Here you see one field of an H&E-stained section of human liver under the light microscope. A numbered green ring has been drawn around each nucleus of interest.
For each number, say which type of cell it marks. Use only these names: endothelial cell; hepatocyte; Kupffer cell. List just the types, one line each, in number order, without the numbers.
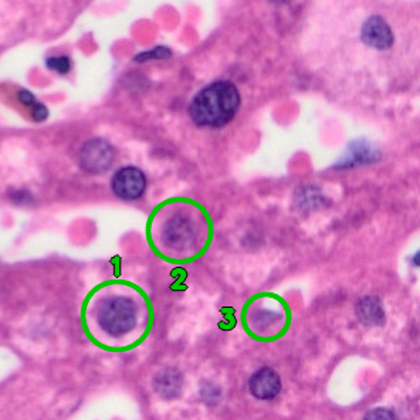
hepatocyte
hepatocyte
endothelial cell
